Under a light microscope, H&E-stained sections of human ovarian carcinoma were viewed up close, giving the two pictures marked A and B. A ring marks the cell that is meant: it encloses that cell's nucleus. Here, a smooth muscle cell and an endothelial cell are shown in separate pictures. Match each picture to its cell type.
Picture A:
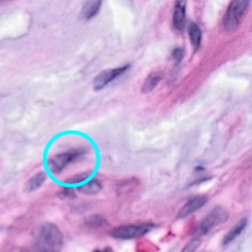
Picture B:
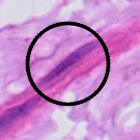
A: endothelial cell
B: smooth muscle cell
